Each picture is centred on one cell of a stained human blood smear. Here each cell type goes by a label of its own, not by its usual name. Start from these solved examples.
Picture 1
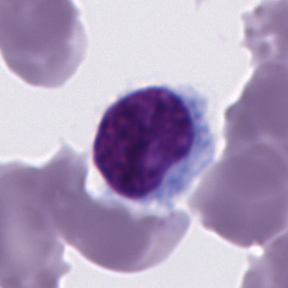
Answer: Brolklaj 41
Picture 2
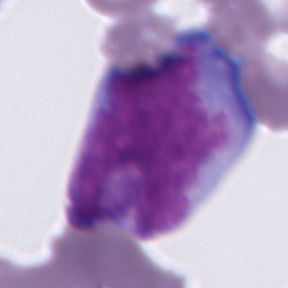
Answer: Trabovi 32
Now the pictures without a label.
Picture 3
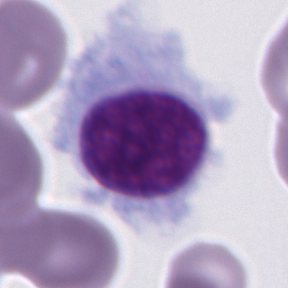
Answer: Brolklaj 41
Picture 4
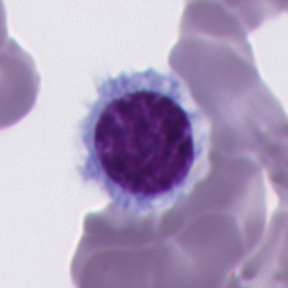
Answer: Brolklaj 41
